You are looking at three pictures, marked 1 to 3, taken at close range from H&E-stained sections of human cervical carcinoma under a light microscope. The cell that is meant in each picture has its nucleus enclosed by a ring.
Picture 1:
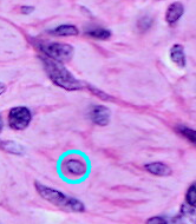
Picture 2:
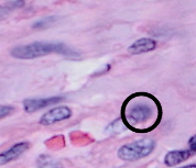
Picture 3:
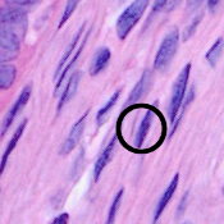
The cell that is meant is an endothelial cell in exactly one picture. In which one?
2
